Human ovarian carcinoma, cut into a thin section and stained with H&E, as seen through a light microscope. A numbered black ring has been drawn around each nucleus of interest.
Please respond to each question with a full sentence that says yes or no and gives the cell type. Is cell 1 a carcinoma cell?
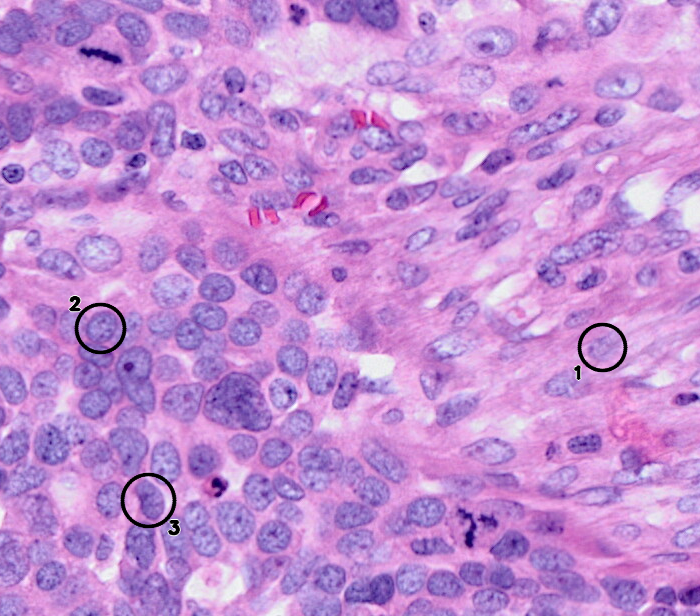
No, cell 1 is classified as a fibroblast rather than a carcinoma cell.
